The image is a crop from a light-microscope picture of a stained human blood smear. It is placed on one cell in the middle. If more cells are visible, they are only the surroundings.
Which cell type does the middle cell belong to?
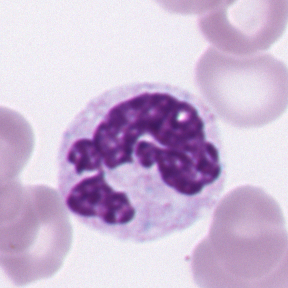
neutrophil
